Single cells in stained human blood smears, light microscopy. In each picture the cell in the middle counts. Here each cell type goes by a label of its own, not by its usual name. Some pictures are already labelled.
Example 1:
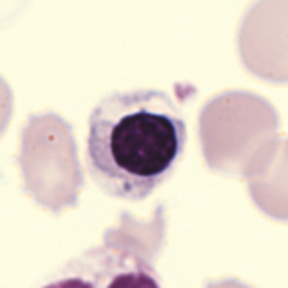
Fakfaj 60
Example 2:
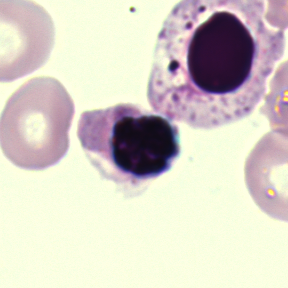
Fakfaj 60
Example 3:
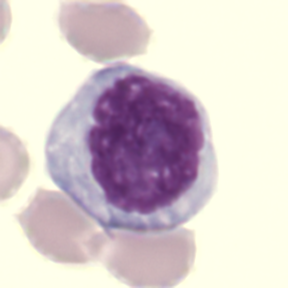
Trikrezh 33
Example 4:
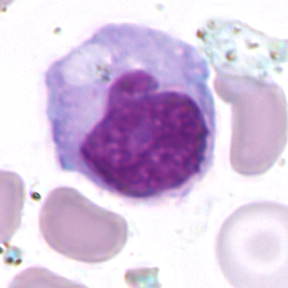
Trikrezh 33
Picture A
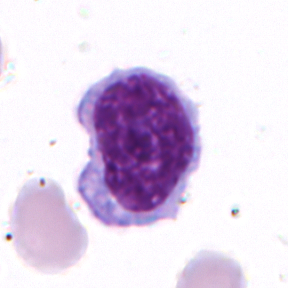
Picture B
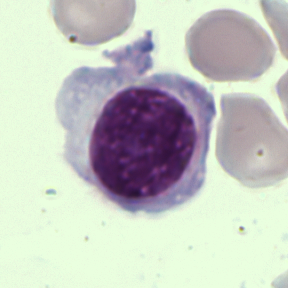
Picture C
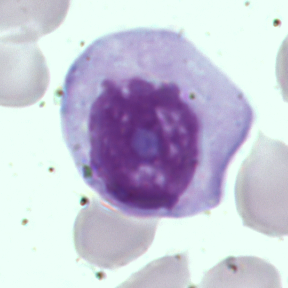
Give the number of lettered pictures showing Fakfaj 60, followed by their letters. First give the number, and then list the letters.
0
